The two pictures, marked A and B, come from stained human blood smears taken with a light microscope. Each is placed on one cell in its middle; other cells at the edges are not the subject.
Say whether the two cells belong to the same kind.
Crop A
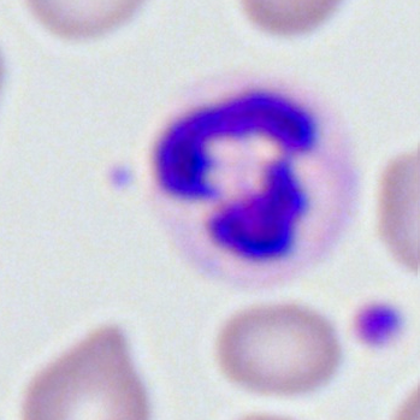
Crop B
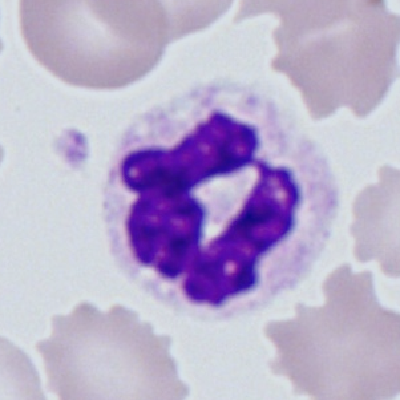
yes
